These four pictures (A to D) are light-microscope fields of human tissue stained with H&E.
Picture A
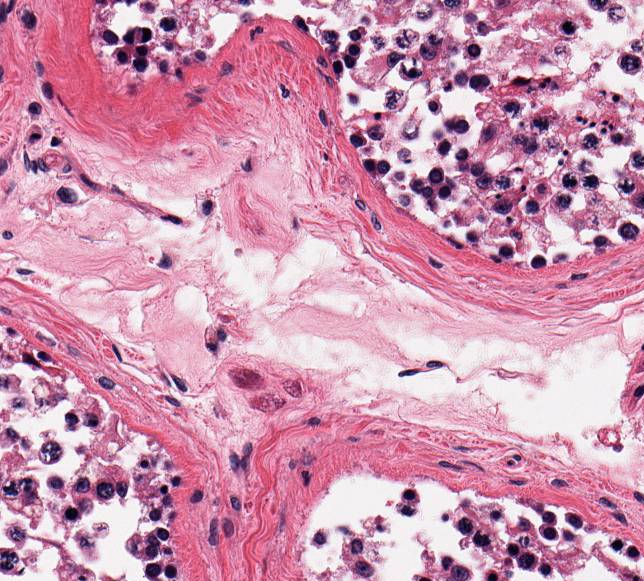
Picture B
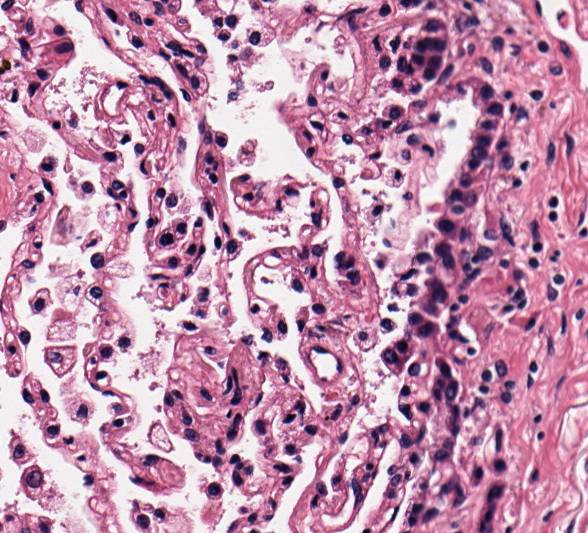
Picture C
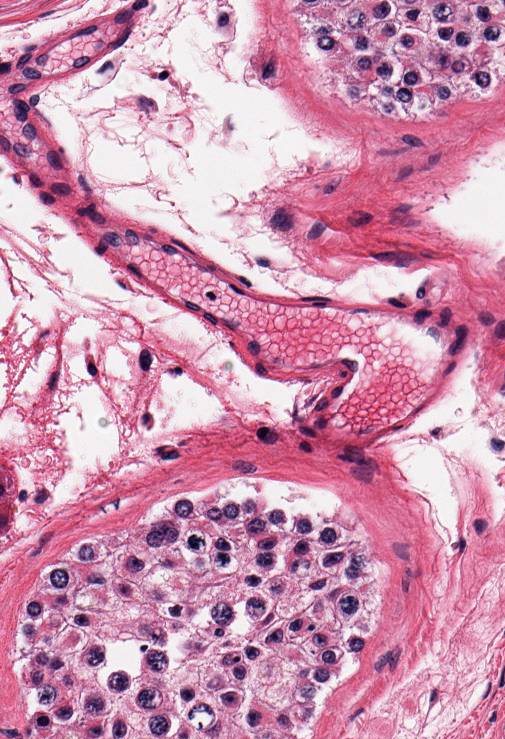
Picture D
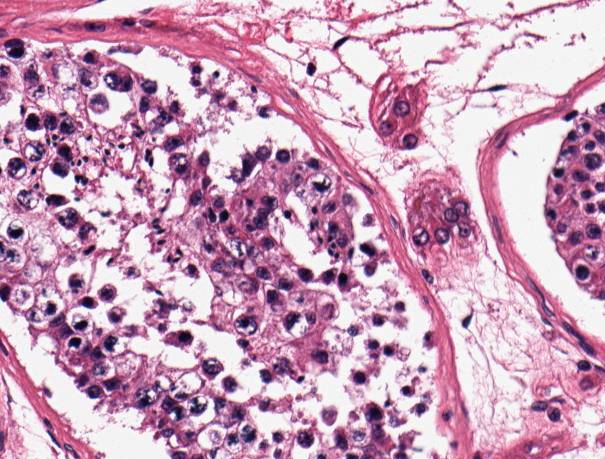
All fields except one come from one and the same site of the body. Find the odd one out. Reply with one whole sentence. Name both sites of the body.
Picture B is the odd one out: it comes from the lung, while the others come from the testis.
